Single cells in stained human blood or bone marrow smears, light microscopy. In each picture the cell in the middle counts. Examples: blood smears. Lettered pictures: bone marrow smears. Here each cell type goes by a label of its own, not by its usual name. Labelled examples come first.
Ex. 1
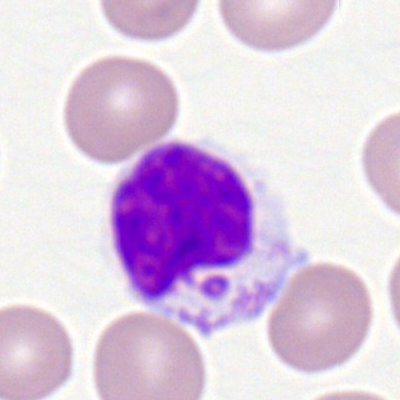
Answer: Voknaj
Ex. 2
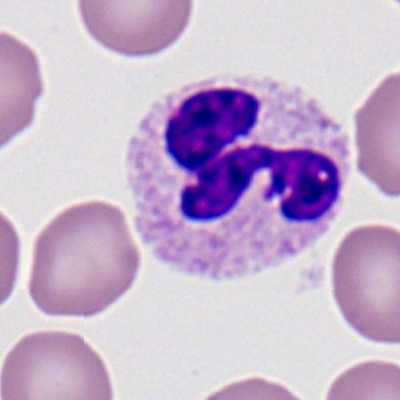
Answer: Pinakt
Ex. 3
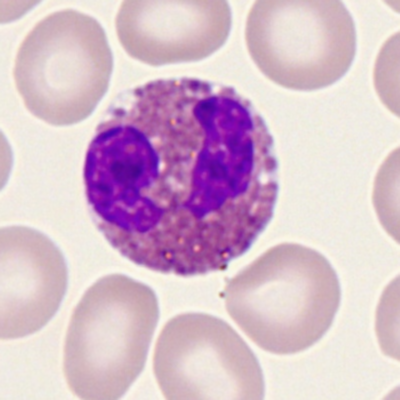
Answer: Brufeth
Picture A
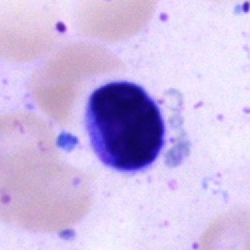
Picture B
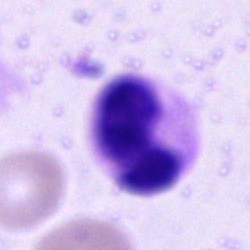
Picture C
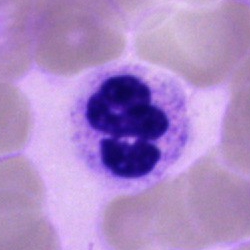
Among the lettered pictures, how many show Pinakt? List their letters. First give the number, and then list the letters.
2, namely B, C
